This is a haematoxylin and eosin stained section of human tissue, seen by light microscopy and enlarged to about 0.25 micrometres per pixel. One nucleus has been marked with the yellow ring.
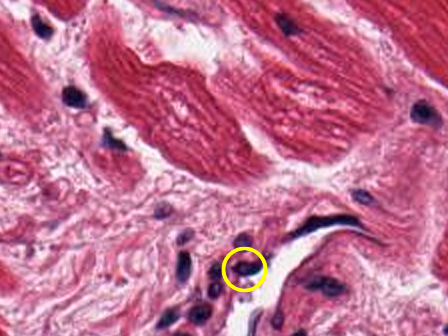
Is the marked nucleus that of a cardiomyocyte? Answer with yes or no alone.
no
